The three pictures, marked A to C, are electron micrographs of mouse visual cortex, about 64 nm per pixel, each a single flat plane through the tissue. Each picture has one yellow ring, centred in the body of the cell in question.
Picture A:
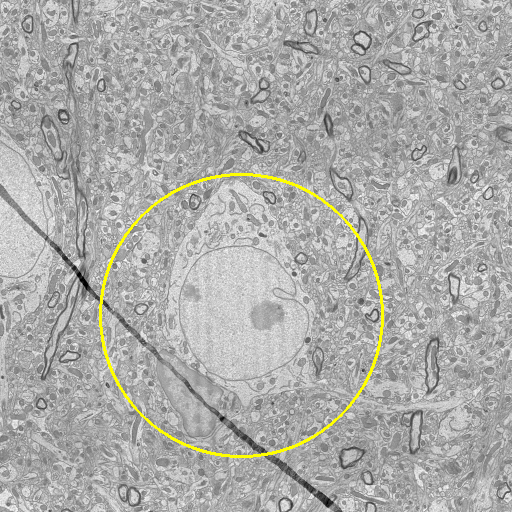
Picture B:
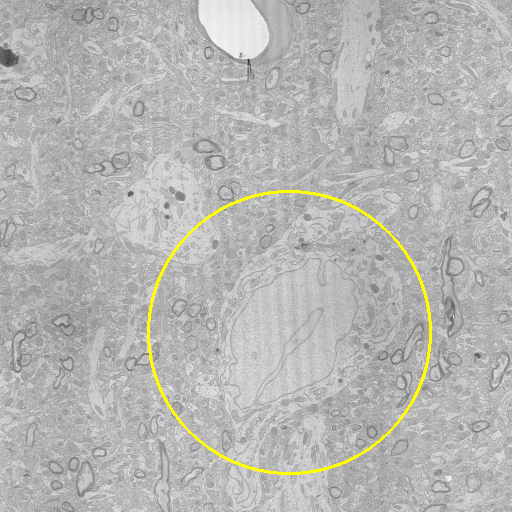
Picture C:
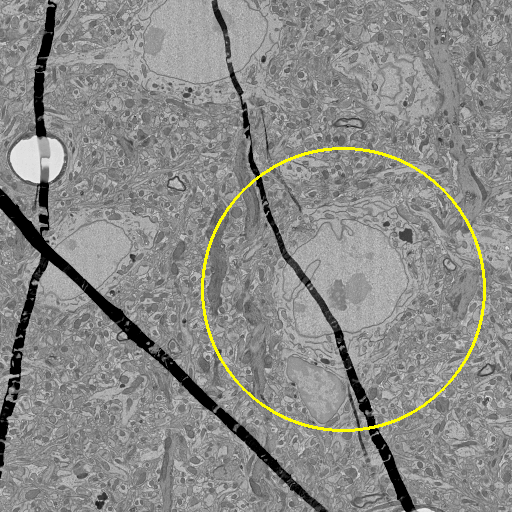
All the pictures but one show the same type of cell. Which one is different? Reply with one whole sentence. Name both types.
Picture A is the odd one out: it shows an excitatory neuron, while the others show inhibitory neurons.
